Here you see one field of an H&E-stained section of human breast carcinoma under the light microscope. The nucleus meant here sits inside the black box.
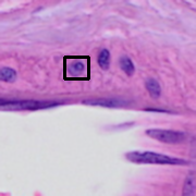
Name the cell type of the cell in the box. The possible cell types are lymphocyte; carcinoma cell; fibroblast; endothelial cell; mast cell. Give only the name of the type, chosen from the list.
endothelial cell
